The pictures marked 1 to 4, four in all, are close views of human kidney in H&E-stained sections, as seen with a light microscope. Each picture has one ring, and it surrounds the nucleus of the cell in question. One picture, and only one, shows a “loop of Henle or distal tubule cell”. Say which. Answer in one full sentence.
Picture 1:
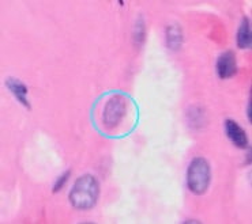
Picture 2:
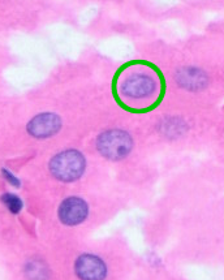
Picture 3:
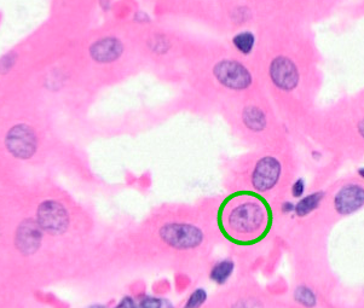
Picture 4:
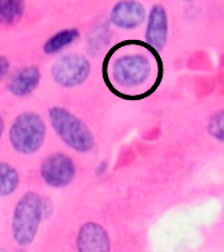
The “loop of Henle or distal tubule cell” is the one in picture 1.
